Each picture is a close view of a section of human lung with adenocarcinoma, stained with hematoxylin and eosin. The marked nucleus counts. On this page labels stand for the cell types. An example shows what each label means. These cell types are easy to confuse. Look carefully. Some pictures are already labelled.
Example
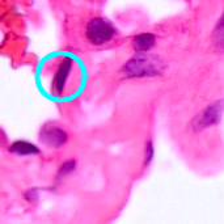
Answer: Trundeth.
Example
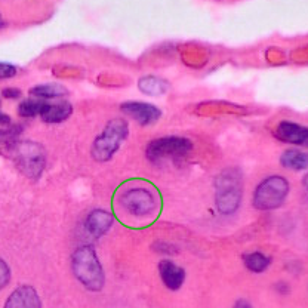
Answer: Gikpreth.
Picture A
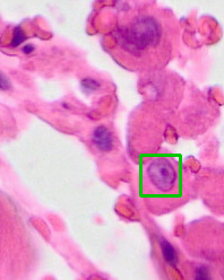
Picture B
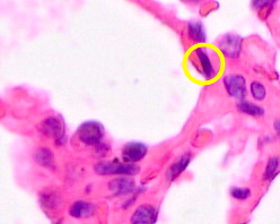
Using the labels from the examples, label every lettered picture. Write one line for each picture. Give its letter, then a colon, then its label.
A: Gikpreth.
B: Trundeth.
